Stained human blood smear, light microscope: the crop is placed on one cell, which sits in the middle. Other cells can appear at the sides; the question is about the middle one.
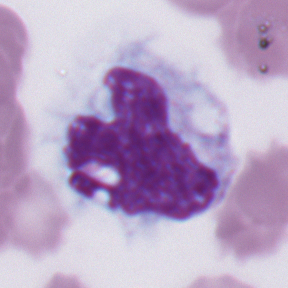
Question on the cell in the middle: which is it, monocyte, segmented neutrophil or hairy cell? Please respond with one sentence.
In the center of this field lies a monocyte.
